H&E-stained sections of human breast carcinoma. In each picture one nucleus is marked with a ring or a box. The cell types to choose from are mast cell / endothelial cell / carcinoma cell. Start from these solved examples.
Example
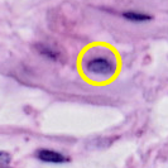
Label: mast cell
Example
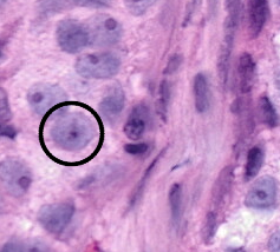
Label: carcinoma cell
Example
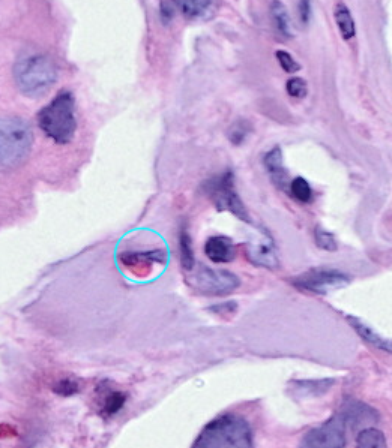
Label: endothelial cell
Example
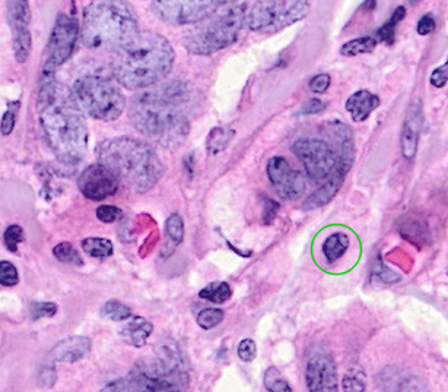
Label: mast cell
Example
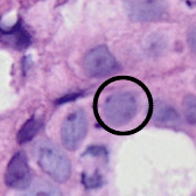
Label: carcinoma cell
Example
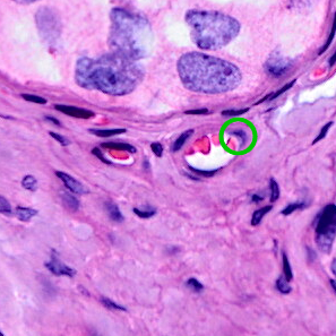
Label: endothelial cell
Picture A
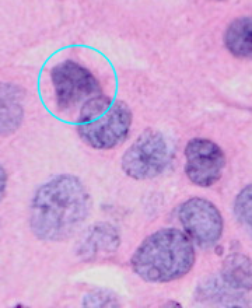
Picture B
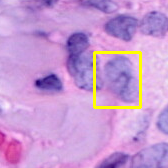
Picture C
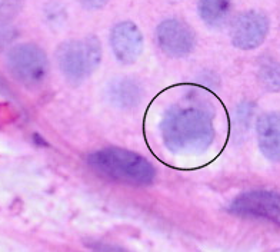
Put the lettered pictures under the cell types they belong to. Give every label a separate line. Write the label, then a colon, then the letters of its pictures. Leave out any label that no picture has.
carcinoma cell: A, B, C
